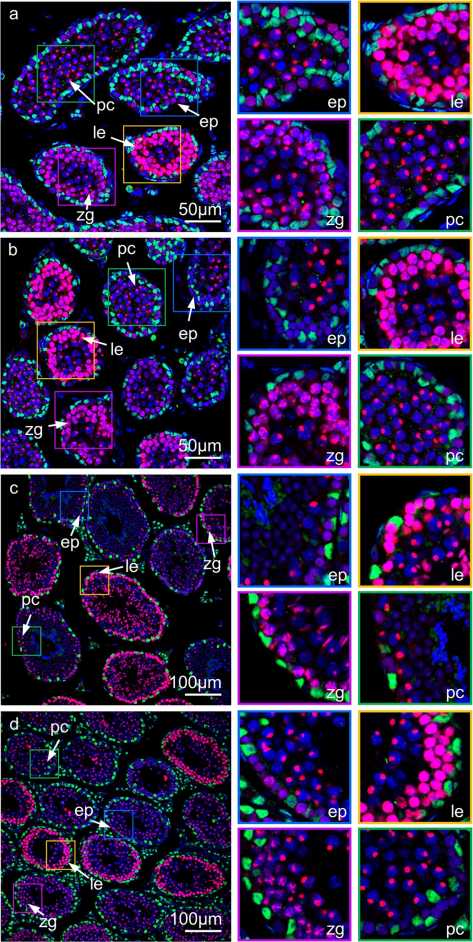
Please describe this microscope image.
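Cross-sections of seminiferous tubules with Sertoli cells and spermatocytes. Green irregular nuclei sit in a ring along the outer edge of each tubule, while round nuclei inside the tubules are either filled with magenta or carry small magenta dots. Enlarged views show the magenta-filled nuclei packed in layers just inside the ring of green nuclei.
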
